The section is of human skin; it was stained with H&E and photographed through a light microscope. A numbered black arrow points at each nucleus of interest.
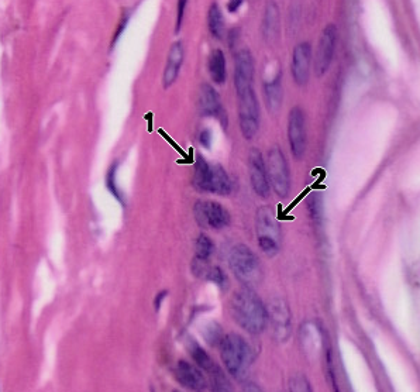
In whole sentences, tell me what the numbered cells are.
Cell 1 is a basal keratinocyte. Cell 2 is a suprabasal keratinocyte.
